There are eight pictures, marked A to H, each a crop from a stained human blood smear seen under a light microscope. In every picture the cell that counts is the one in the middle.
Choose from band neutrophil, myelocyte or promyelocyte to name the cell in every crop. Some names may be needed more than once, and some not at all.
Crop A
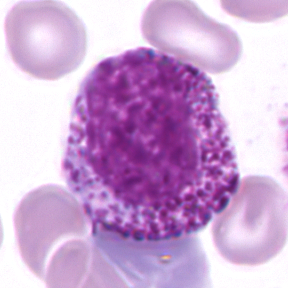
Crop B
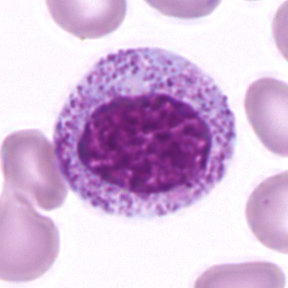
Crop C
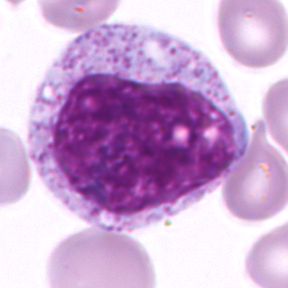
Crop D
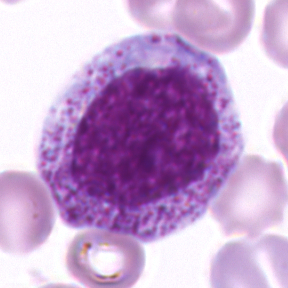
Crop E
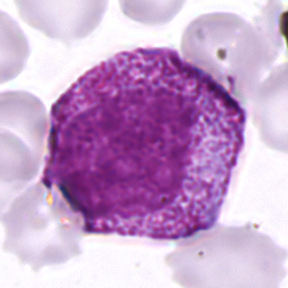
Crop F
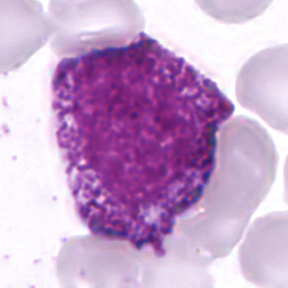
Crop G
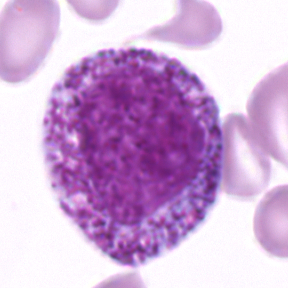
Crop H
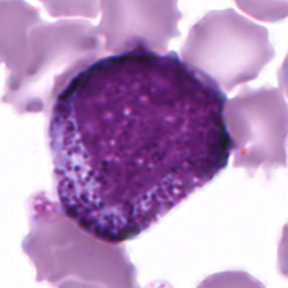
A: myelocyte
B: myelocyte
C: myelocyte
D: promyelocyte
E: promyelocyte
F: myelocyte
G: promyelocyte
H: myelocyte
